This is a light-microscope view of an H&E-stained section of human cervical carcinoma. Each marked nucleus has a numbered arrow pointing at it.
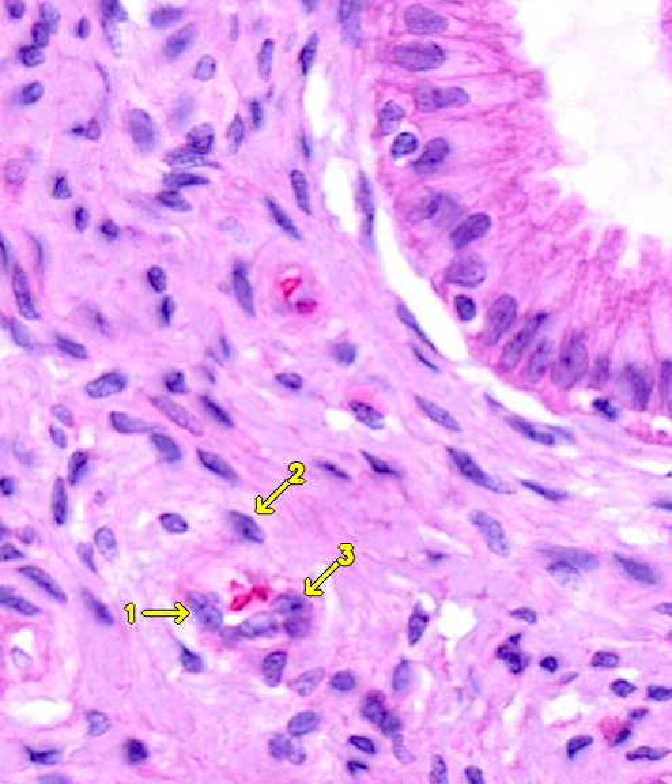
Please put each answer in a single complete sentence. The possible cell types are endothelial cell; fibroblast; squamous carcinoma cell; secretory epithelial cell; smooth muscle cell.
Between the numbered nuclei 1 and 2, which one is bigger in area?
It is nucleus 1, which covers about 1.5 times the area of nucleus 2.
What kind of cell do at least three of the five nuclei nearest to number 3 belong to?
The majority of the five nuclei closest to number 3 belong to endothelial cells.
